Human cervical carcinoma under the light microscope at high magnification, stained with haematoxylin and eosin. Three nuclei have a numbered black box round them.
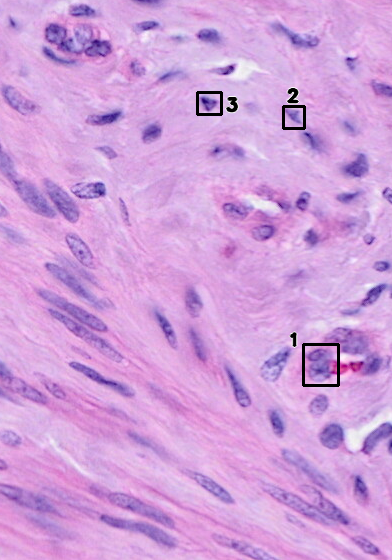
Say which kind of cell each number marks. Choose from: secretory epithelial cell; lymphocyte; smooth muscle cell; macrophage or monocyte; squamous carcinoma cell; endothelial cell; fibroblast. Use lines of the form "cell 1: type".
cell 1: endothelial cell
cell 2: fibroblast
cell 3: fibroblast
